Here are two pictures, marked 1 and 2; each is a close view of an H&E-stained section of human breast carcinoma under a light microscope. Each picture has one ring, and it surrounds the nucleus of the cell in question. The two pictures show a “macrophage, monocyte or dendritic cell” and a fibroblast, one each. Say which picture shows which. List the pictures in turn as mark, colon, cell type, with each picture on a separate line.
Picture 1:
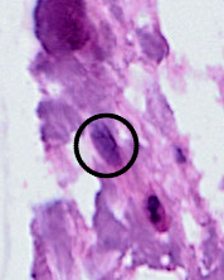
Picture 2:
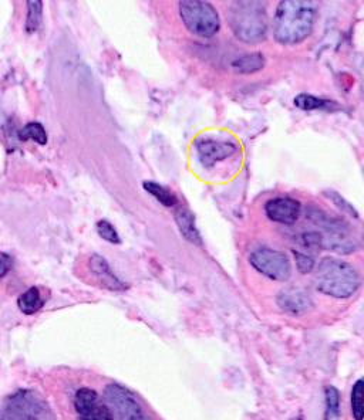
1: fibroblast
2: macrophage, monocyte or dendritic cell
